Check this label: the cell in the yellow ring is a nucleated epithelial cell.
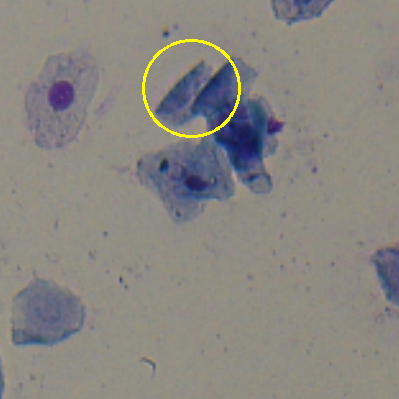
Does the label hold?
The label does not hold; the cell is a cornified epithelial cell.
